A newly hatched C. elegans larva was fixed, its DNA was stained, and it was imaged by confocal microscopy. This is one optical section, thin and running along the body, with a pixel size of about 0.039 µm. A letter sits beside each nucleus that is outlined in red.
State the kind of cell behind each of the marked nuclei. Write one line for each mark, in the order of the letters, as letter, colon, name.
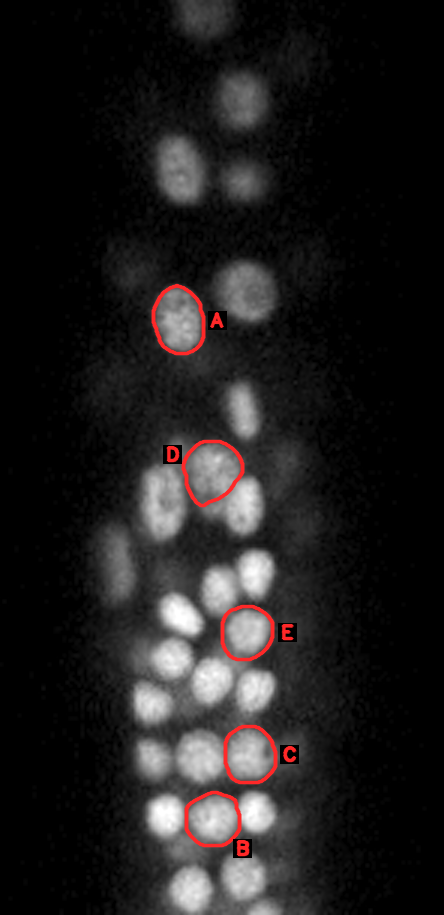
A: hypodermal cell (hyp)
B: neuron
C: neuron
D: seam cell
E: neuron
